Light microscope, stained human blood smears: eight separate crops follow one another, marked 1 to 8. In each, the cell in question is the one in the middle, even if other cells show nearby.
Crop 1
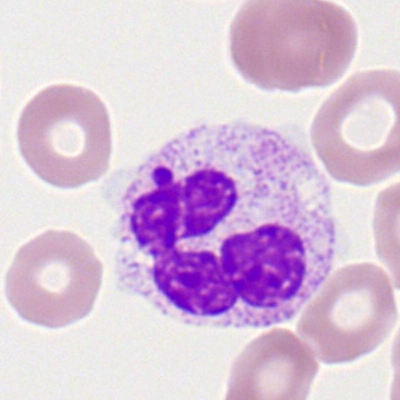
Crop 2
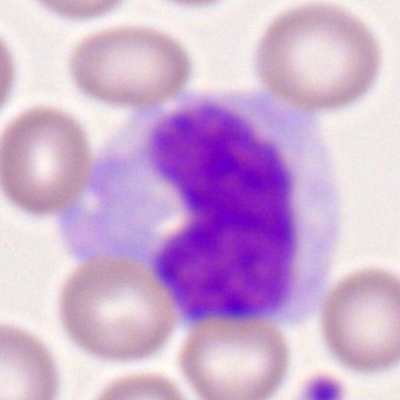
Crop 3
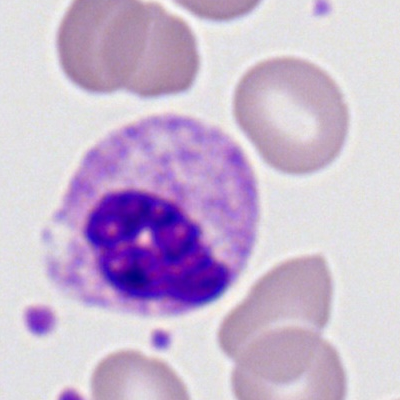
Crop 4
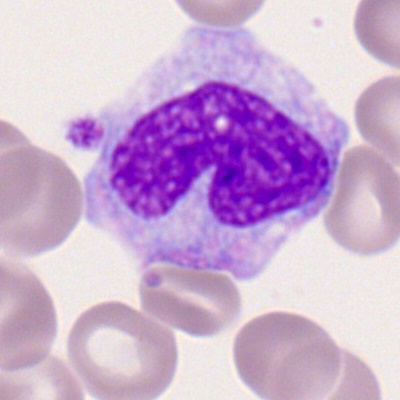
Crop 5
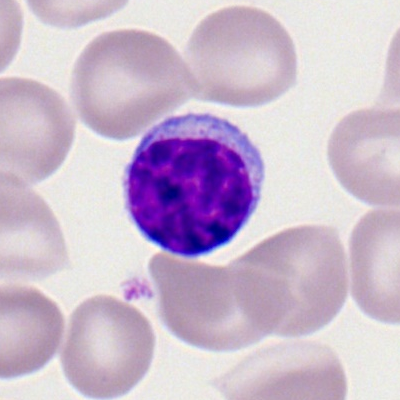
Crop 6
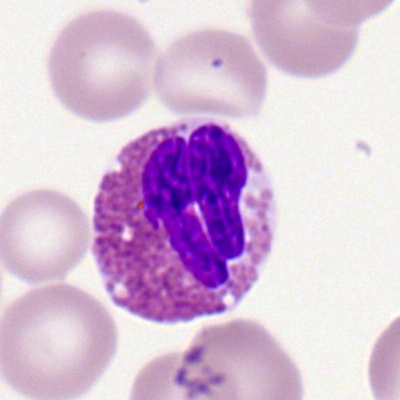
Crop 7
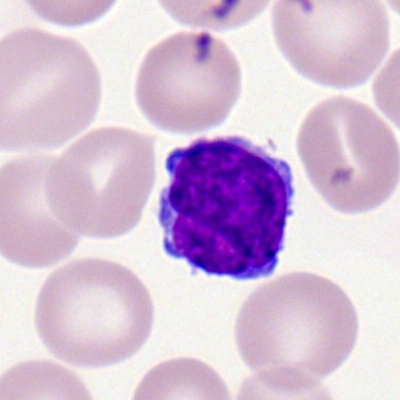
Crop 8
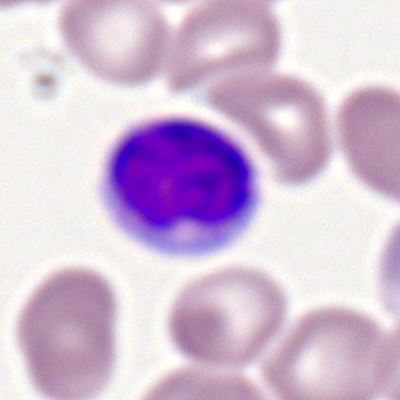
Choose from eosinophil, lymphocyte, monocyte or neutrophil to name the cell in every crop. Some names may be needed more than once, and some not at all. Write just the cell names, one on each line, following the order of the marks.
neutrophil
monocyte
neutrophil
monocyte
lymphocyte
eosinophil
lymphocyte
lymphocyte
